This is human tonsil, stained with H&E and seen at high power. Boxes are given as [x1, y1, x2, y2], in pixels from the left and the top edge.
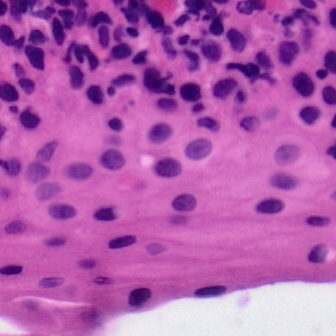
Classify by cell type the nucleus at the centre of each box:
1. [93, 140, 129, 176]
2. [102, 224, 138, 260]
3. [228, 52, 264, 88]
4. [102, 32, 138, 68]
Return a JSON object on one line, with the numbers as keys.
{"1": "squamous epithelial cell", "2": "squamous epithelial cell", "3": "squamous epithelial cell", "4": "plasma cell"}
